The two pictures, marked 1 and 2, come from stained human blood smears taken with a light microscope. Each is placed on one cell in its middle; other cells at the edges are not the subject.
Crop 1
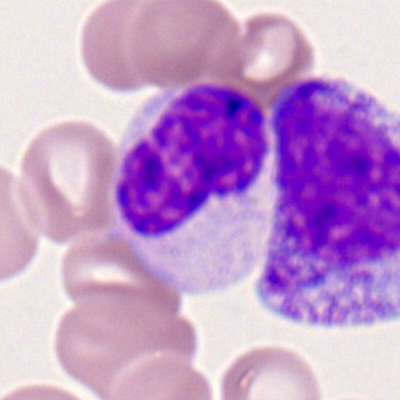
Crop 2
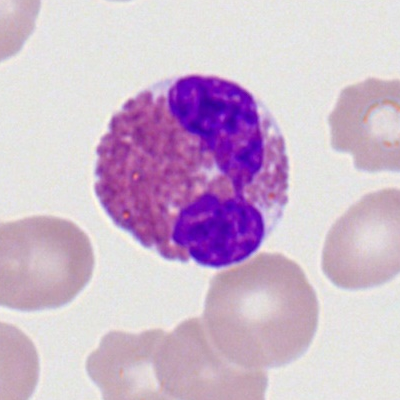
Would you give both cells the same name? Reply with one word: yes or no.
no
